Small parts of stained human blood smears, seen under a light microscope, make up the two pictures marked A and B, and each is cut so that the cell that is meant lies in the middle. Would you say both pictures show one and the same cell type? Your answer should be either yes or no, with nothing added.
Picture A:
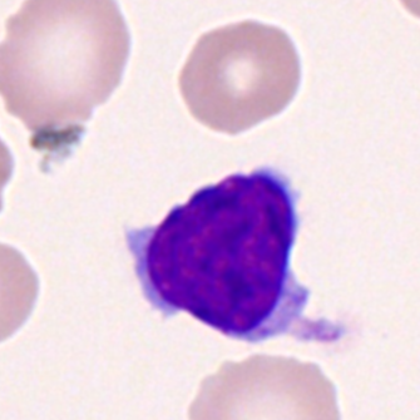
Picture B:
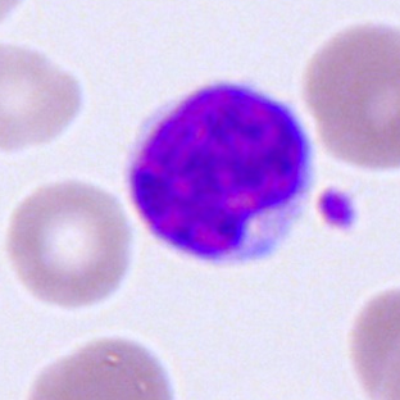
yes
